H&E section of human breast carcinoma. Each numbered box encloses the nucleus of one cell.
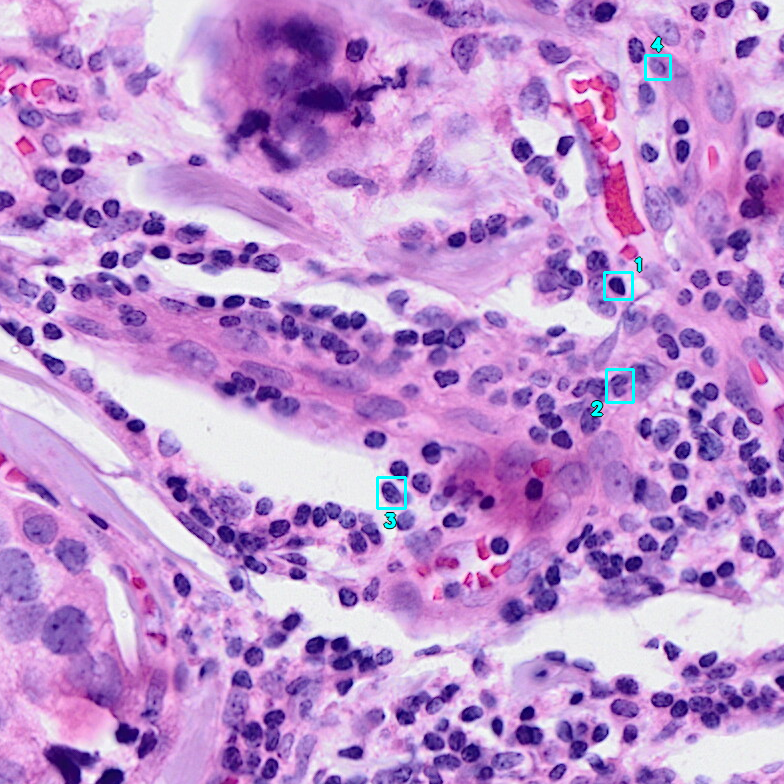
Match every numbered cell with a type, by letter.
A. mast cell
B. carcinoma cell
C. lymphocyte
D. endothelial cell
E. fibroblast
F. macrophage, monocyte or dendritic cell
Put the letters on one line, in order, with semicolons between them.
C; C; C; D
